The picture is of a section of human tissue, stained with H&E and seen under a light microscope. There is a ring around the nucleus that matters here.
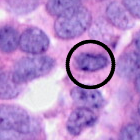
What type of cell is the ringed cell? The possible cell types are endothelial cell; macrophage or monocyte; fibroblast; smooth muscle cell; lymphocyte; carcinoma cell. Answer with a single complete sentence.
On this particular slide, the ringed cell is a macrophage or monocyte.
